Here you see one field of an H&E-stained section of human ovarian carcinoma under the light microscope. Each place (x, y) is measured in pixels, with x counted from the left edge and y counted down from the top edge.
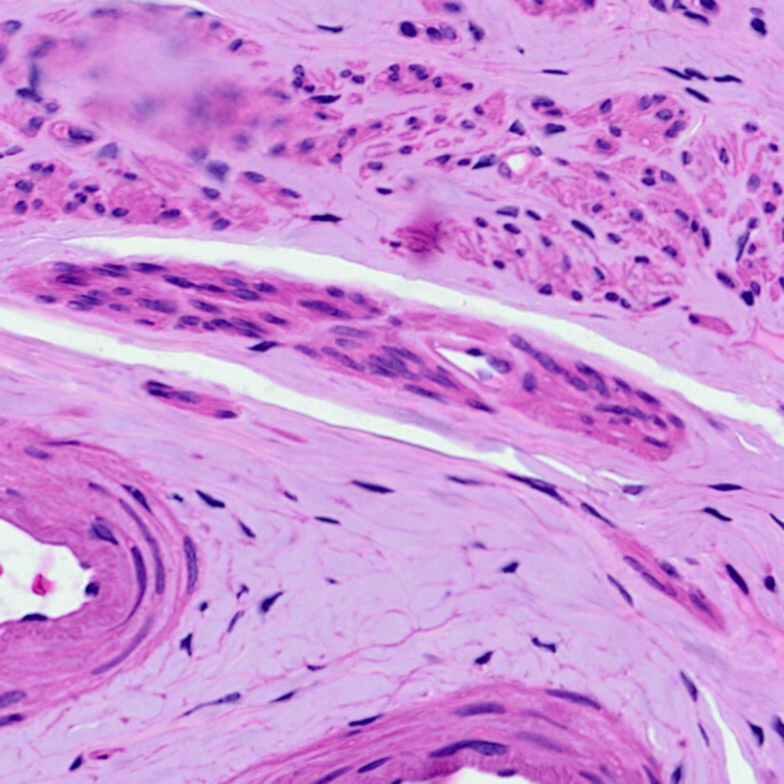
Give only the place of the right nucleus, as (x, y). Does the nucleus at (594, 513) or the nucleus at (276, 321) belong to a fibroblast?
(594, 513)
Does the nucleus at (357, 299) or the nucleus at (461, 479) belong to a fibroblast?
(461, 479)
